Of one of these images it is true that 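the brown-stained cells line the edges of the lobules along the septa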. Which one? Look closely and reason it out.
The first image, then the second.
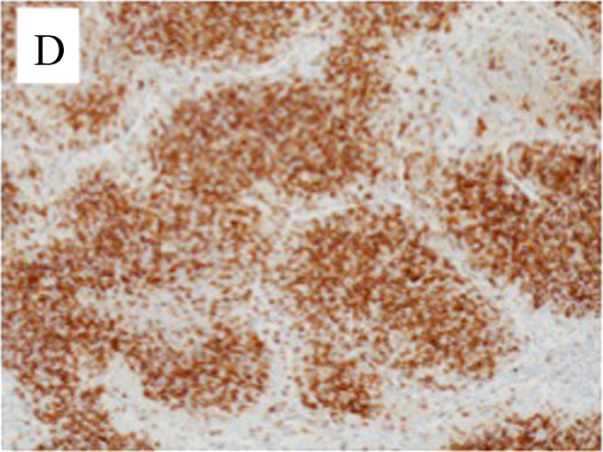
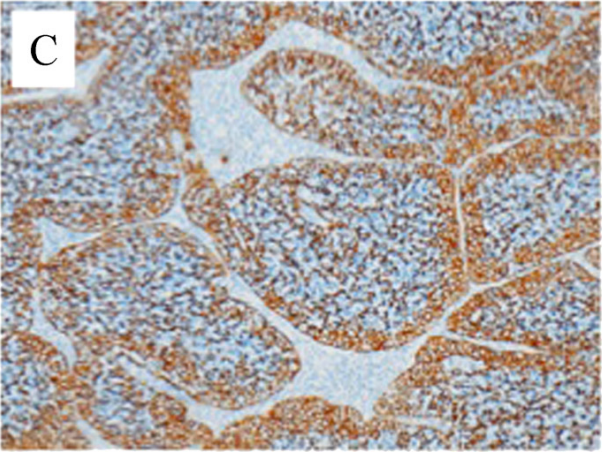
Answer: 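The second image. First image: brown-stained small cells fill the centres of the lobules. Second image: brown-stained cells are densest at the lobule margins bordering the pale septa.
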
